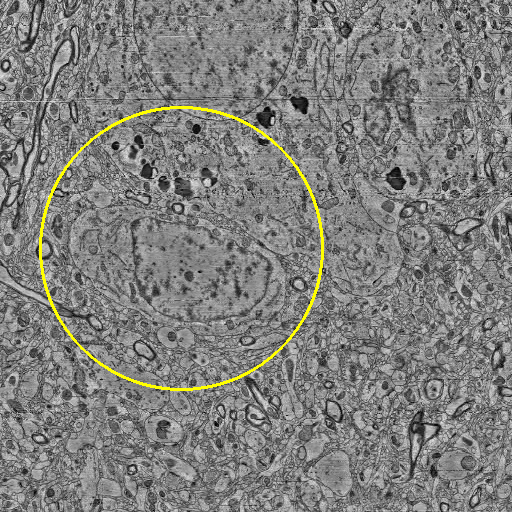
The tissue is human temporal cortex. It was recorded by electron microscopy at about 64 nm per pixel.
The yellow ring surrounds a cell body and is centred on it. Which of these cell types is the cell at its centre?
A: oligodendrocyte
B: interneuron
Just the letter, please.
B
